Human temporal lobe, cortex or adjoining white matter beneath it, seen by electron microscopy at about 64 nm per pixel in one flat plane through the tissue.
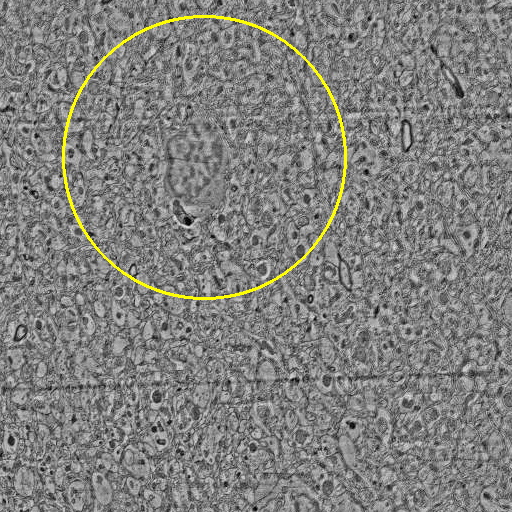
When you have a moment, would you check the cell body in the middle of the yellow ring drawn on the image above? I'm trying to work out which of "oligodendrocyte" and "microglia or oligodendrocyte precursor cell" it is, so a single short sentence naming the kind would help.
This cell body belongs to an oligodendrocyte.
